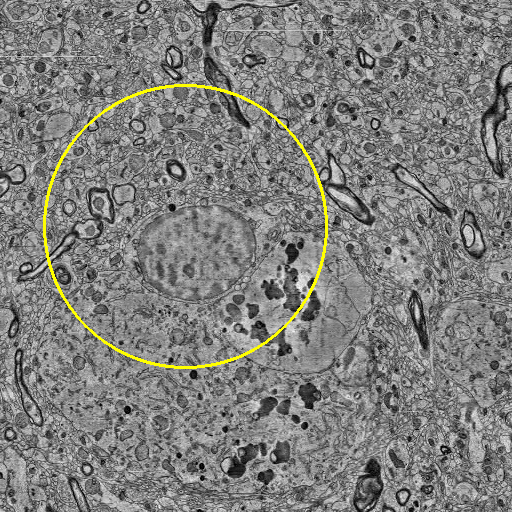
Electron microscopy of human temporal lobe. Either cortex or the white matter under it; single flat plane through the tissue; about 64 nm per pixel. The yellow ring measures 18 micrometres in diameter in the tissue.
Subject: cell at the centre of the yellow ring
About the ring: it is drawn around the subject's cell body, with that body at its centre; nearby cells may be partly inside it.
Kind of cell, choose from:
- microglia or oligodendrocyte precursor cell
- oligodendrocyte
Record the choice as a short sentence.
The subject cell is an oligodendrocyte.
